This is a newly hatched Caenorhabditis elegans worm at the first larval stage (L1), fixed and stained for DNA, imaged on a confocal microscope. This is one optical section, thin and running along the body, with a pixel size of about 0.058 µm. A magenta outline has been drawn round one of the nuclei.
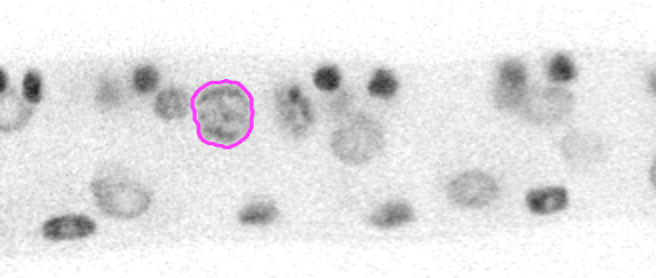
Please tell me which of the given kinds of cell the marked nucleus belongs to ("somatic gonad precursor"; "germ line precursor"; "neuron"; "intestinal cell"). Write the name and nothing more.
germ line precursor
